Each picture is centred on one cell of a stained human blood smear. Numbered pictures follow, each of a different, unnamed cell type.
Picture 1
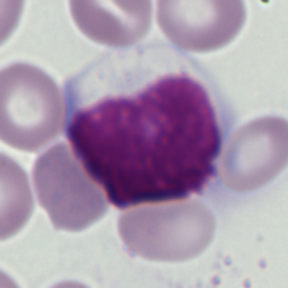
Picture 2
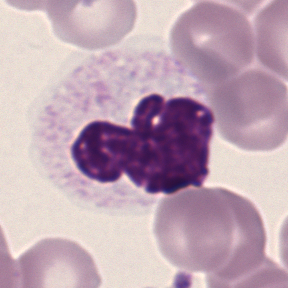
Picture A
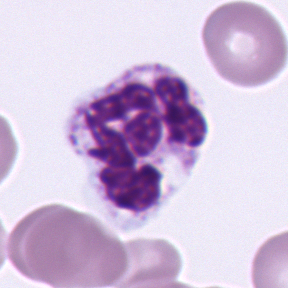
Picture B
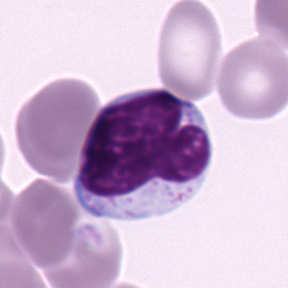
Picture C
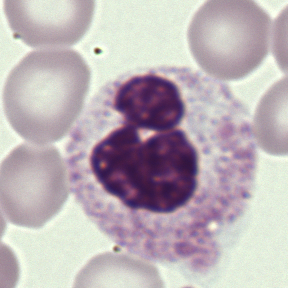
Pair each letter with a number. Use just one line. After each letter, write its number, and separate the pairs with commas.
A 2, B 1, C 2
